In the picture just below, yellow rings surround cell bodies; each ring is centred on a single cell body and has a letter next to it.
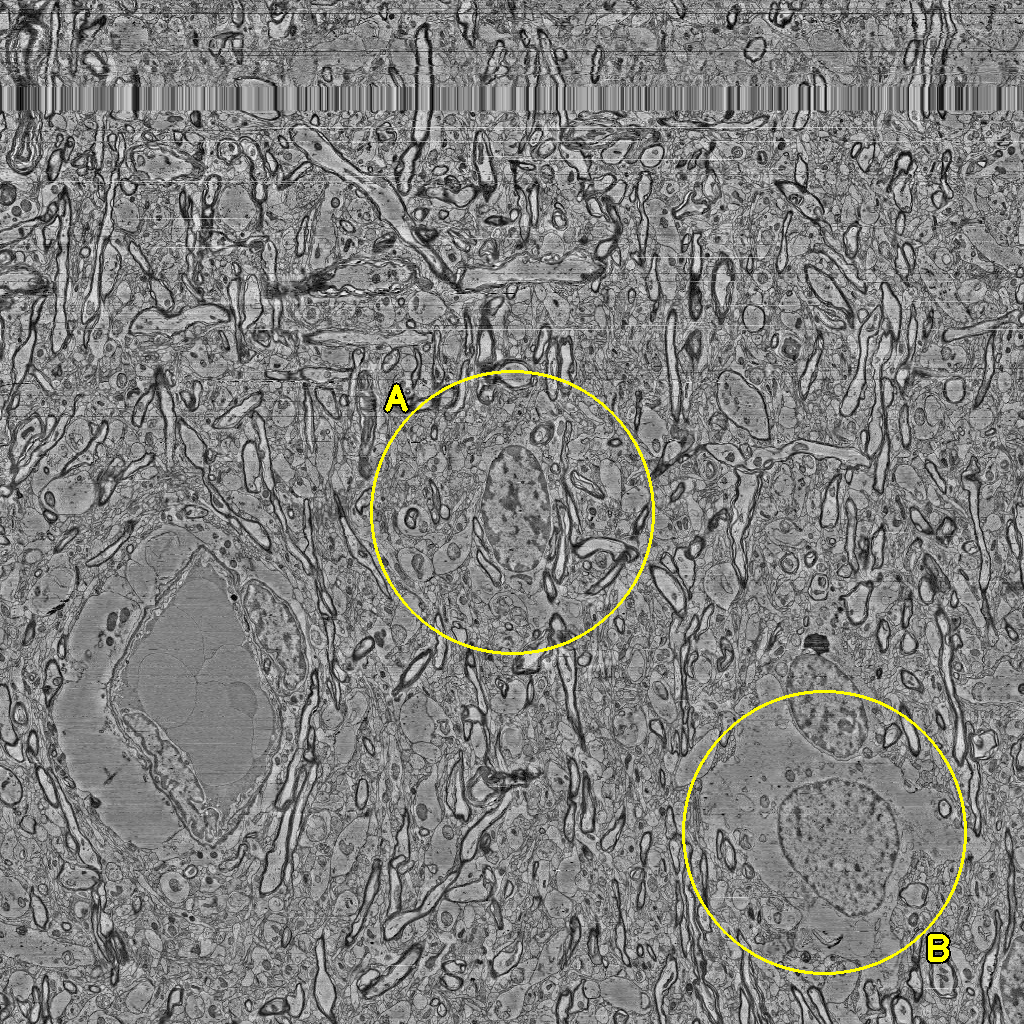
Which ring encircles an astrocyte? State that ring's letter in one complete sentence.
The letter B marks the ring centred on the cell asked for in the picture.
